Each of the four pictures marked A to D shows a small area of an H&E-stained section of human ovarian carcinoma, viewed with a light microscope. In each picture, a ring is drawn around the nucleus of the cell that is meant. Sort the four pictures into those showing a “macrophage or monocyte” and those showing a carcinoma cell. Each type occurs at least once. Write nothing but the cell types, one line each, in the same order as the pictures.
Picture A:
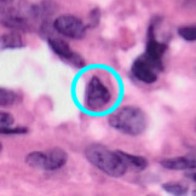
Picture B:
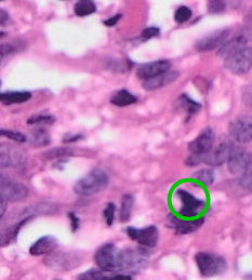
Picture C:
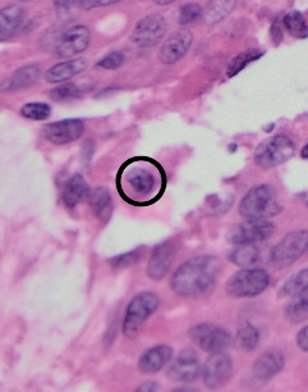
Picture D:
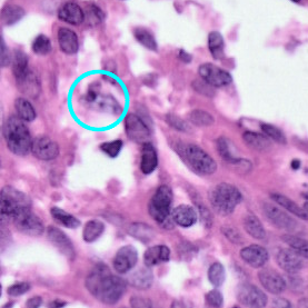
macrophage or monocyte
carcinoma cell
macrophage or monocyte
macrophage or monocyte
